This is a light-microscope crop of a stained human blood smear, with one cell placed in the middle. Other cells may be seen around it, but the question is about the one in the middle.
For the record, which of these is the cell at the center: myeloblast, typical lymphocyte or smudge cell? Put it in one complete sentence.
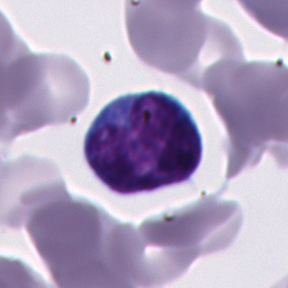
The cell the crop is centered on is a typical lymphocyte.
